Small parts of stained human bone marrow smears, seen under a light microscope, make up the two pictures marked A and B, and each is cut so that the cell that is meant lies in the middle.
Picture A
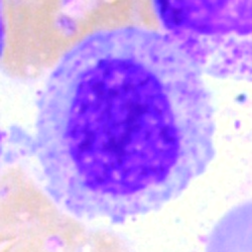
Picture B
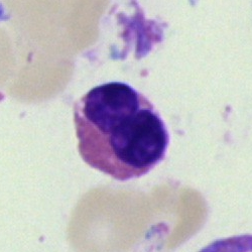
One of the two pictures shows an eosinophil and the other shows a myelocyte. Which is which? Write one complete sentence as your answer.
Picture B shows an eosinophil, while picture A shows a myelocyte.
